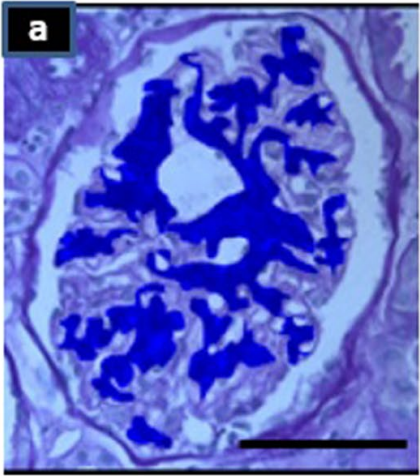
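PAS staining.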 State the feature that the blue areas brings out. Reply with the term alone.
Glomerular Mesangium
